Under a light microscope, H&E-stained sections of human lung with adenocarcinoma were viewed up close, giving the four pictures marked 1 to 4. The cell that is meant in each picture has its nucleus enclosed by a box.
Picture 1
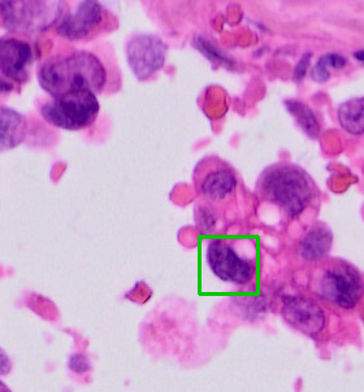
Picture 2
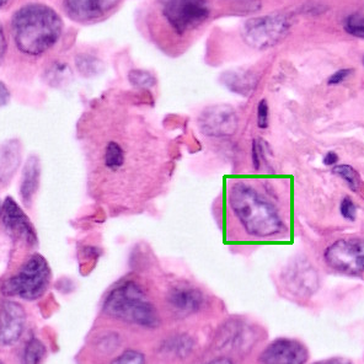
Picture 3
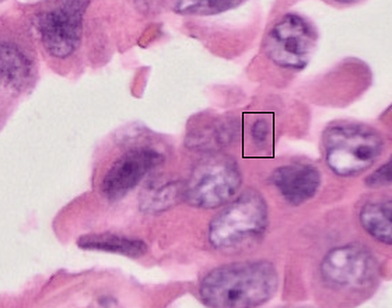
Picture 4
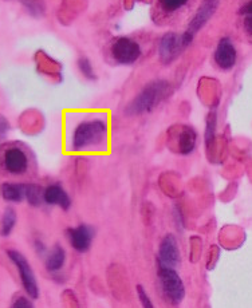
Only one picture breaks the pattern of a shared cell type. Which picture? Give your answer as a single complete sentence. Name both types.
All pictures except 4 show carcinoma cells; picture 4 shows a type I pneumocyte.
